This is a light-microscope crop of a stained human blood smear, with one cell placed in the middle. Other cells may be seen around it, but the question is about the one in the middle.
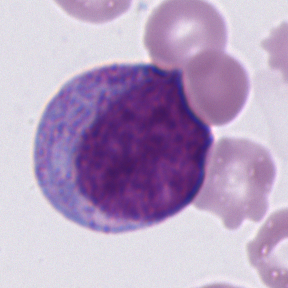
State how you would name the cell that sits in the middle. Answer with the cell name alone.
promyelocyte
